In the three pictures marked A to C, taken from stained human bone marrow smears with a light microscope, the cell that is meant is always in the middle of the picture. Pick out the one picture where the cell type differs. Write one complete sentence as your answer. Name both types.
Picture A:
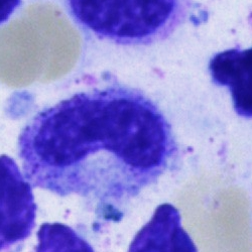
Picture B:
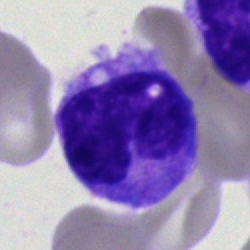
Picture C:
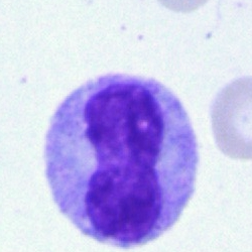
Unlike the rest, which show band neutrophils, picture B shows a monocyte.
